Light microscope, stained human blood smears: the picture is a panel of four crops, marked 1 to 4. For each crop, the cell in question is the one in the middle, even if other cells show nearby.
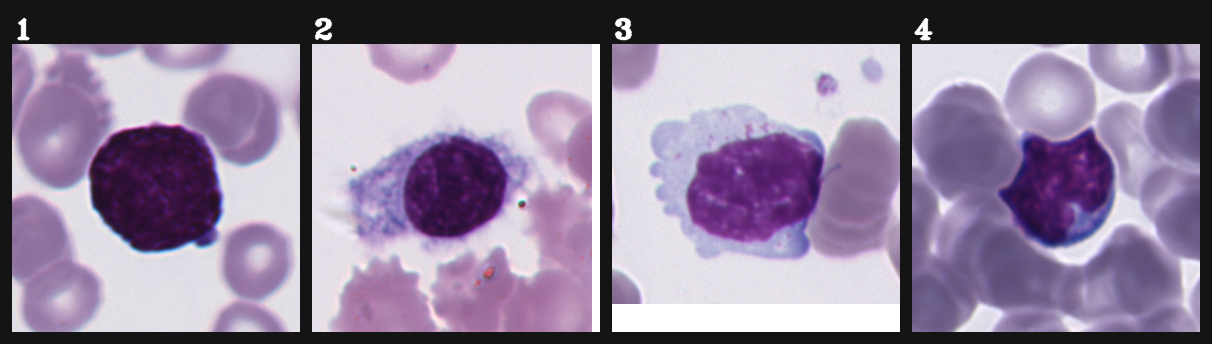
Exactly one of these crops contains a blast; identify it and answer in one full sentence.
Crop 1 is identified as the crop showing a blast.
